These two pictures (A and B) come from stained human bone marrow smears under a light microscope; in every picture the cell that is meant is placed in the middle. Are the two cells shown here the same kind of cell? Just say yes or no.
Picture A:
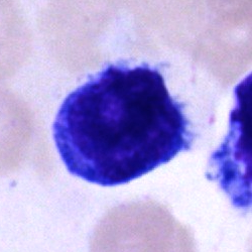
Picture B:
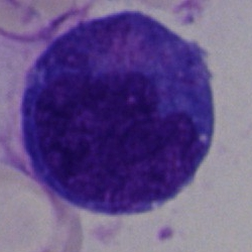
yes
